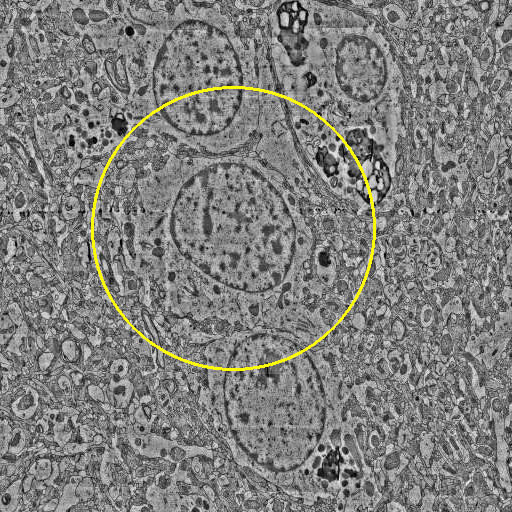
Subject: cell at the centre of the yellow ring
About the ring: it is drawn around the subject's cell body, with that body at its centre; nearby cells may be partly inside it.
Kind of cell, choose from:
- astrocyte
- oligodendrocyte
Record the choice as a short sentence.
The subject cell is an astrocyte.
